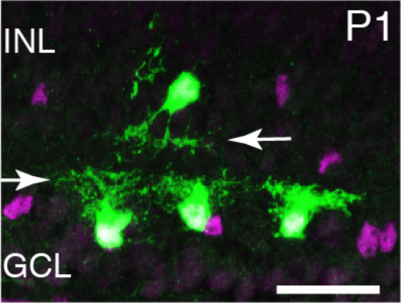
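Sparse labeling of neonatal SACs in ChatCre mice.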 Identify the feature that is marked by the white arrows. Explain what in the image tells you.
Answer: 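Green cell bodies above and below send processes into a middle zone. The processes spread horizontally at two distinct depths where the arrows point. On this evidence: laminar-specific projections.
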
